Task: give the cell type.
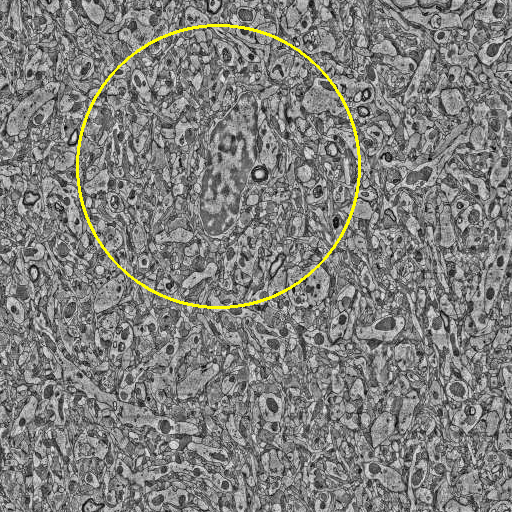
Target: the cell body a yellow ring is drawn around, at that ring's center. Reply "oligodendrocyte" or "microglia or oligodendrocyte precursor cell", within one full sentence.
In this picture, the cell whose body lies at the ring's center is a microglial cell or oligodendrocyte precursor cell.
